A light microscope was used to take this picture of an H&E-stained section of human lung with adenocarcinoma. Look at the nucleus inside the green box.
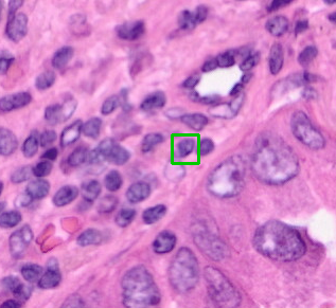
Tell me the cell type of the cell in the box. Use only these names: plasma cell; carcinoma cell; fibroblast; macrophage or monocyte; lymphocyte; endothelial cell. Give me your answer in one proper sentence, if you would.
In this tissue sample, the cell in the box is a lymphocyte.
